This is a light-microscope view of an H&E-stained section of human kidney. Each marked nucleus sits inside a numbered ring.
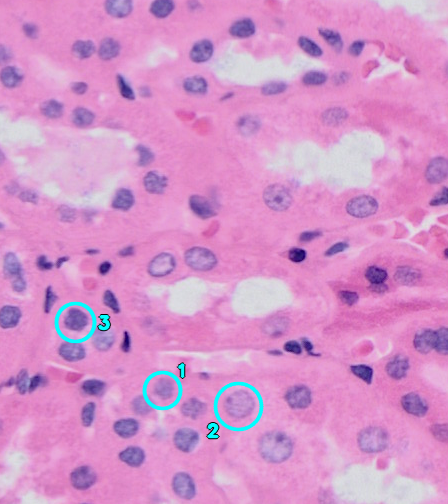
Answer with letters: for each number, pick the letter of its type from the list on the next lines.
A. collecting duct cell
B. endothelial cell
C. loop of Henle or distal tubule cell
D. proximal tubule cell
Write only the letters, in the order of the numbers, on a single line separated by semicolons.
C; D; C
